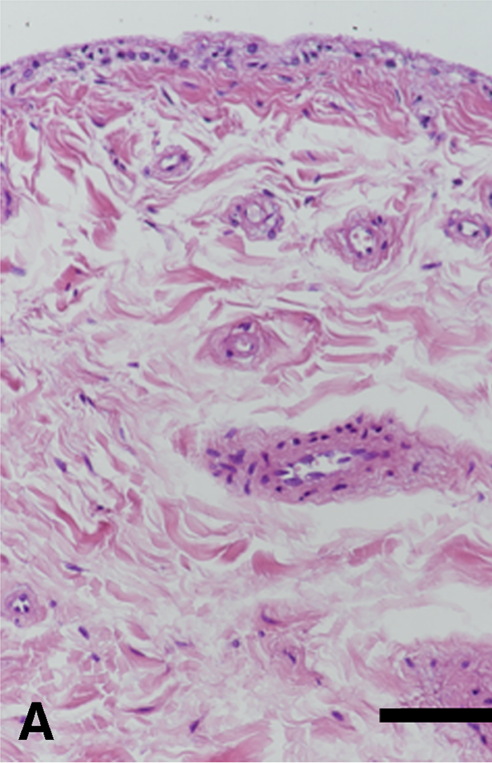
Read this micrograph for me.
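This is synovial tissue with a thin lining layer of a few rows of flattened to plump cells along the top surface. Several small vessels run through it, each surrounded by a thick collar of concentric collagen, and there is little sign of inflammatory cells crowding the tissue.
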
